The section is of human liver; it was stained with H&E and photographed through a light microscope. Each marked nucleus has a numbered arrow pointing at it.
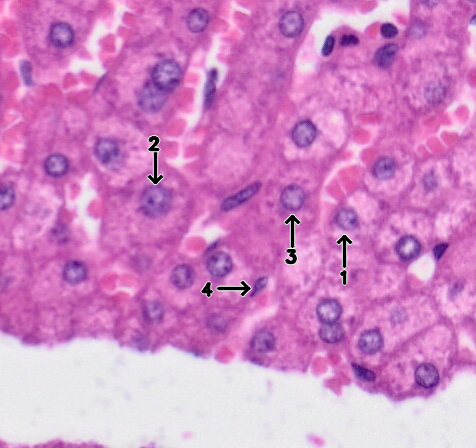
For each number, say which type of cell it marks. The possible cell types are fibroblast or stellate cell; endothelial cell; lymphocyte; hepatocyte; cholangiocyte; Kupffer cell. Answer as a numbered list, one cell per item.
1. hepatocyte
2. hepatocyte
3. hepatocyte
4. endothelial cell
